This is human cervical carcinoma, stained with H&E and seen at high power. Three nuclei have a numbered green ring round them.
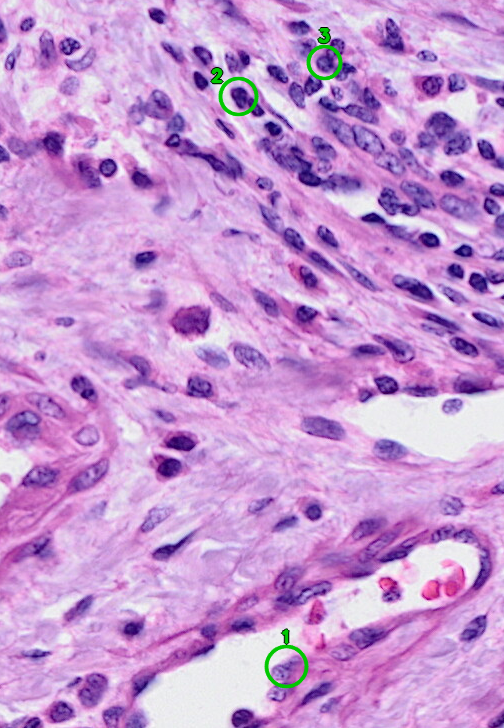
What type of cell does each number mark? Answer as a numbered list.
1. endothelial cell
2. lymphocyte
3. lymphocyte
